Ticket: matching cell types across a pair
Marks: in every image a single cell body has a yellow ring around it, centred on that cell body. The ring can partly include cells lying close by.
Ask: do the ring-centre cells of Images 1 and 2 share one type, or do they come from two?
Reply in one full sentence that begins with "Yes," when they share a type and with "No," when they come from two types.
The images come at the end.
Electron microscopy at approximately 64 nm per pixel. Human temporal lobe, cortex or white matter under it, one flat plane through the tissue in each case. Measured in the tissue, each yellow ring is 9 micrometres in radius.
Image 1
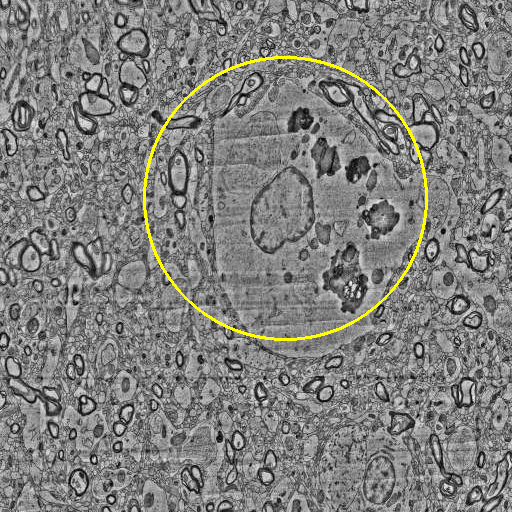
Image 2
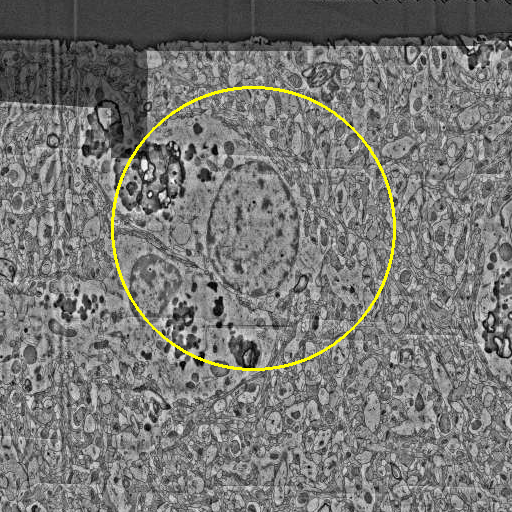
Yes, the cells in the centres of the rings in Image 1 and Image 2 share one type.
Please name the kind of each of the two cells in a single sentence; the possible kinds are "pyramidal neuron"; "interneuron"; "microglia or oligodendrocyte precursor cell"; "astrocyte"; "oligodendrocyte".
Each of the two rings is centred on an astrocyte.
